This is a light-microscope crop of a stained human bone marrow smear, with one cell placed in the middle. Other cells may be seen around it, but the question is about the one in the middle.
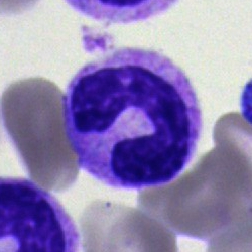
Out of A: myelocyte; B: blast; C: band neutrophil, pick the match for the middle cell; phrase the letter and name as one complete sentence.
Since the cell in the centre is a band neutrophil, the correct option is C.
